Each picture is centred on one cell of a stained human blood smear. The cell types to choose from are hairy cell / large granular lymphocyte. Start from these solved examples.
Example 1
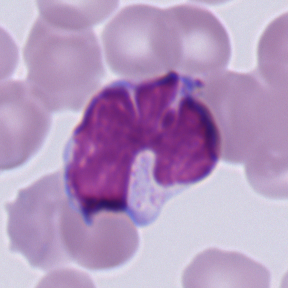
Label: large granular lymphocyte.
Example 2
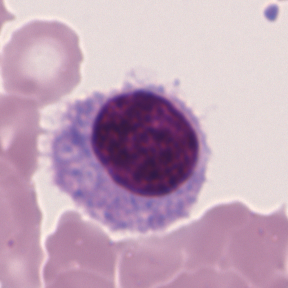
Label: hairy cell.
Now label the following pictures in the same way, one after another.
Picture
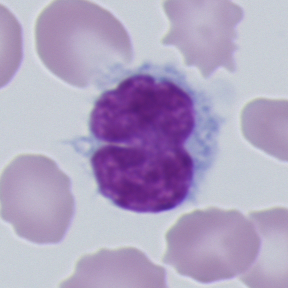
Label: hairy cell.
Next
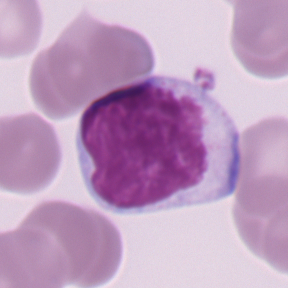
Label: large granular lymphocyte.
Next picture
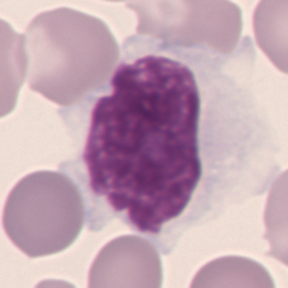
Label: hairy cell.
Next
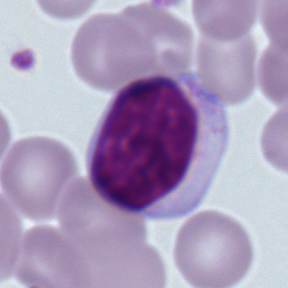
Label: large granular lymphocyte.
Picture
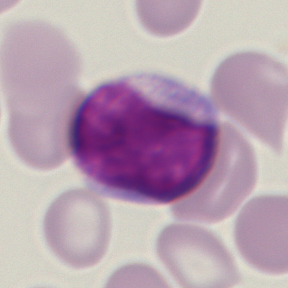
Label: large granular lymphocyte.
